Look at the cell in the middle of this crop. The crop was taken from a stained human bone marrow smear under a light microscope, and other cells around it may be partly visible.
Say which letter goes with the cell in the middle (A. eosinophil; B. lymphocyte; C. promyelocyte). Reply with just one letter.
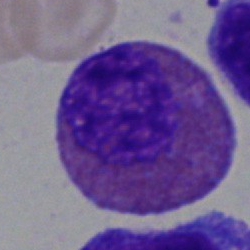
A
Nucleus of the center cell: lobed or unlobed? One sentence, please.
One compact mass makes up the whole nucleus, round, oval or kidney-shaped.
